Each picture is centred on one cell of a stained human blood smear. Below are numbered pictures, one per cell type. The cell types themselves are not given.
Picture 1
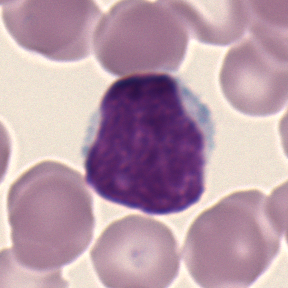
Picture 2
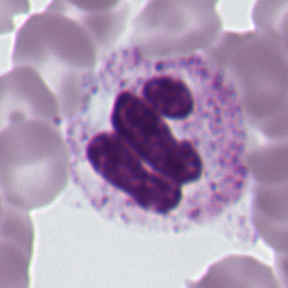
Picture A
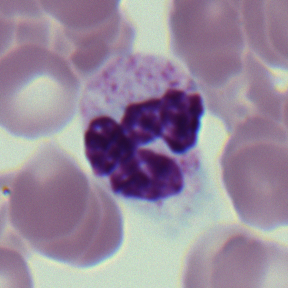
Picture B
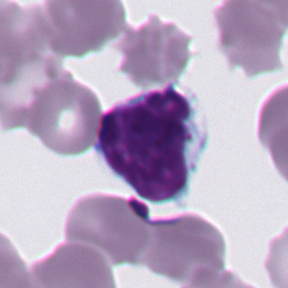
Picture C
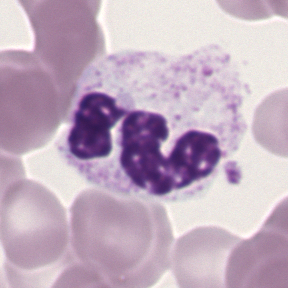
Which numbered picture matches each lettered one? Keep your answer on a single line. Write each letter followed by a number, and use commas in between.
A 2, B 1, C 2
